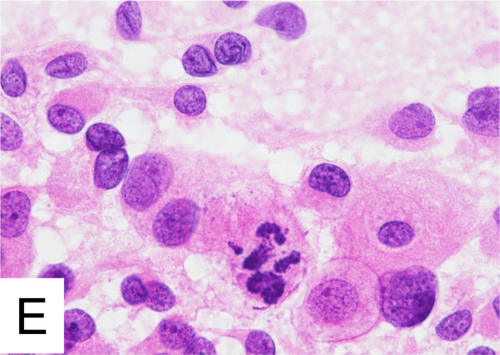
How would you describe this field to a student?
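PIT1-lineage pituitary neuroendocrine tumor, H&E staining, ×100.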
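The nuclei have fine chromatin and are of somewhat varying size, some with small nucleoli. In the lower middle one cell shows dark, clumped chromosome pieces without a nuclear membrane, a mitotic figure. The cells lie loosely together with faint cell borders, and the background contains many small clear vacuoles.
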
